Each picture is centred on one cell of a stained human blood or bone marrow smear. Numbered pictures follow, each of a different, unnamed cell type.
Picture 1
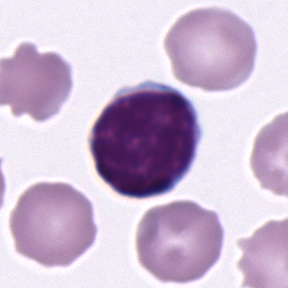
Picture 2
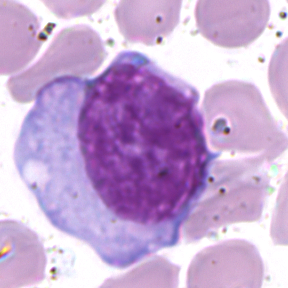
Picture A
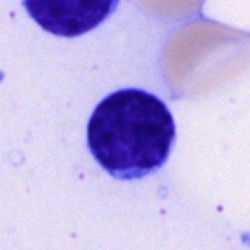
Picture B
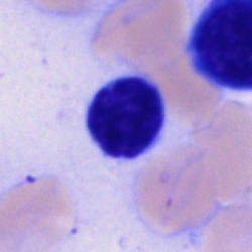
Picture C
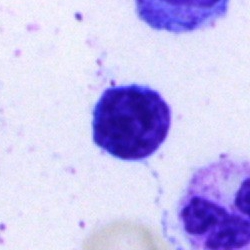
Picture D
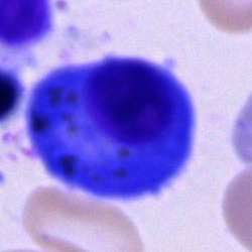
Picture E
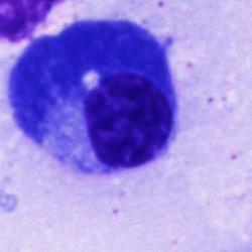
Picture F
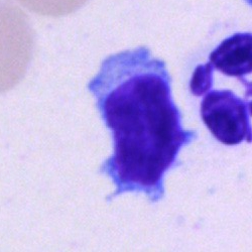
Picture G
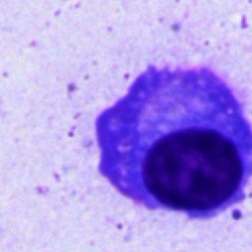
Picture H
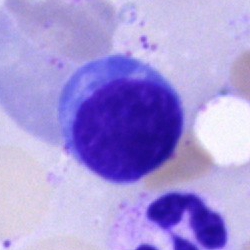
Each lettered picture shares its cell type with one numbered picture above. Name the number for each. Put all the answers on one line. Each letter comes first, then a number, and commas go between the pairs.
A 1, B 1, C 1, D 2, E 2, F 1, G 2, H 1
